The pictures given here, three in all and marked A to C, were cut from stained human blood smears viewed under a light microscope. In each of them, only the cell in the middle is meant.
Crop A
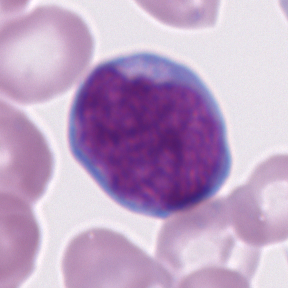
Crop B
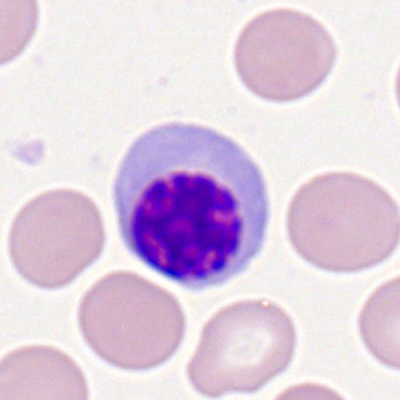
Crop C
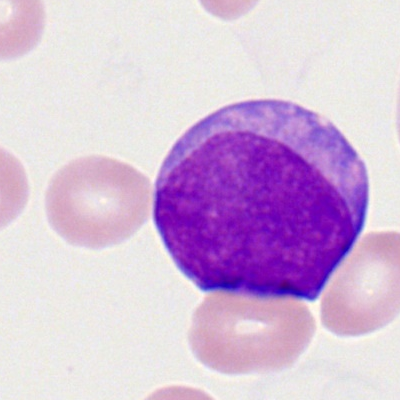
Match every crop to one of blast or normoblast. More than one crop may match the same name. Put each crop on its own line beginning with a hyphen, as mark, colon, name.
- A: blast
- B: normoblast
- C: blast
